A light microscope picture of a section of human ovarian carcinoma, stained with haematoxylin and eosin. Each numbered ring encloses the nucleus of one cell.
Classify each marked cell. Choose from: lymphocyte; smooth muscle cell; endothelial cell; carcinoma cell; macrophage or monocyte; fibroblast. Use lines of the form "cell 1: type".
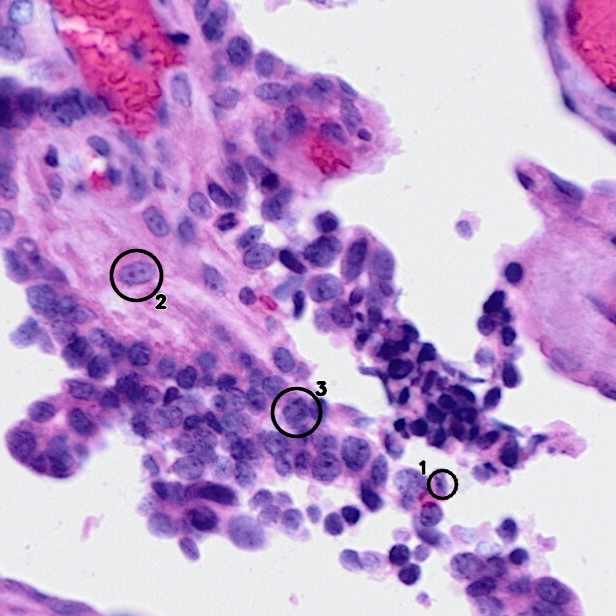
cell 1: macrophage or monocyte
cell 2: fibroblast
cell 3: carcinoma cell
